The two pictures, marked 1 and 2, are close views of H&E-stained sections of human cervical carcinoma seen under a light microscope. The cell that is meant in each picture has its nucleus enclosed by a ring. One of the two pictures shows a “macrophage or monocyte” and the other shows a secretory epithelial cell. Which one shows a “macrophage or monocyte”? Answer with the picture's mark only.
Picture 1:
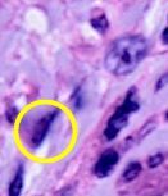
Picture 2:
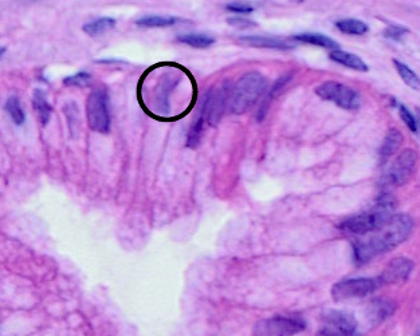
1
